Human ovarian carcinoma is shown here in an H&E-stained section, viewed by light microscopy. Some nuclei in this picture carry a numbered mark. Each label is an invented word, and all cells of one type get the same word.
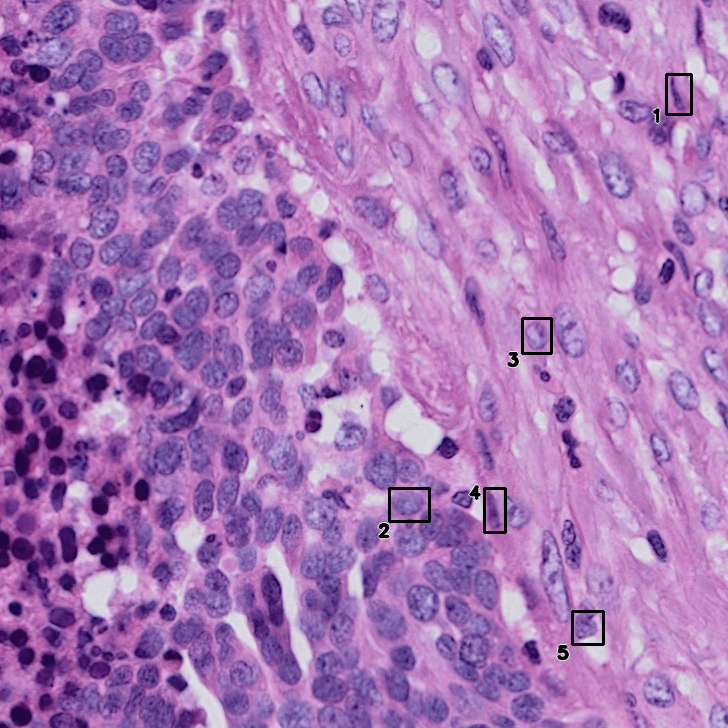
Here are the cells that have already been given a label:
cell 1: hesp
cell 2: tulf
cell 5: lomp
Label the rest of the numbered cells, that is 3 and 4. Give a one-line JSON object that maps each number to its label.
{"3": "hesp", "4": "hesp"}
